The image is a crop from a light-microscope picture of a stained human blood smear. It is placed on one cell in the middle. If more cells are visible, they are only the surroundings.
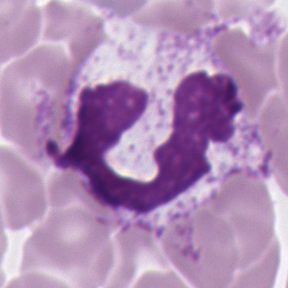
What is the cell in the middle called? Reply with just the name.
neutrophil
